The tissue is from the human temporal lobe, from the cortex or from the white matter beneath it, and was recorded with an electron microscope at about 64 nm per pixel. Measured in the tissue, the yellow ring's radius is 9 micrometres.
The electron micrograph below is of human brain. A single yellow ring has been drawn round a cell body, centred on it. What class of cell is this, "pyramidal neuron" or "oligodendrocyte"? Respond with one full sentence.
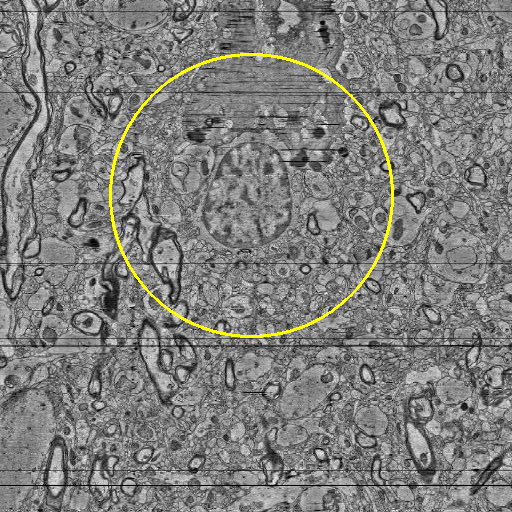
In the micrograph, the cell centred inside the yellow ring is an oligodendrocyte.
